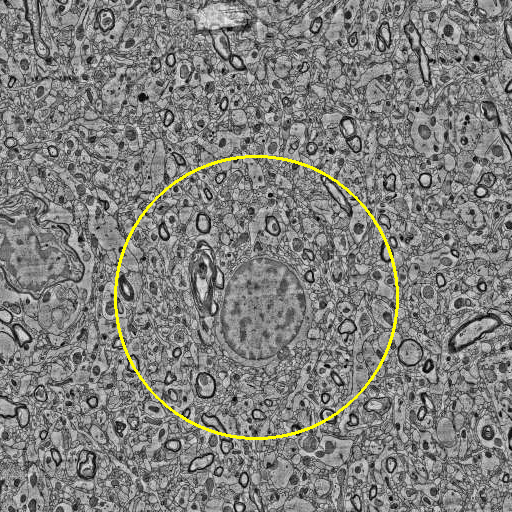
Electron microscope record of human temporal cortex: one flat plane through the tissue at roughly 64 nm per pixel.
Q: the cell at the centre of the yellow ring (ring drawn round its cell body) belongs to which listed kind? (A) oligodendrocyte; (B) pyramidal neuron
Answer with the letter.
A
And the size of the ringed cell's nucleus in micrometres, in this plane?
Approximately 7 x 6 micrometres in this plane.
